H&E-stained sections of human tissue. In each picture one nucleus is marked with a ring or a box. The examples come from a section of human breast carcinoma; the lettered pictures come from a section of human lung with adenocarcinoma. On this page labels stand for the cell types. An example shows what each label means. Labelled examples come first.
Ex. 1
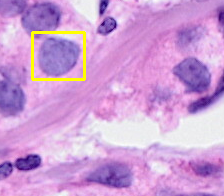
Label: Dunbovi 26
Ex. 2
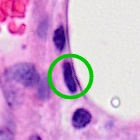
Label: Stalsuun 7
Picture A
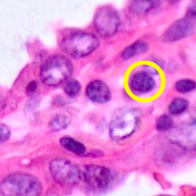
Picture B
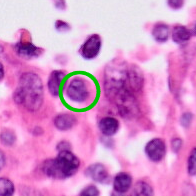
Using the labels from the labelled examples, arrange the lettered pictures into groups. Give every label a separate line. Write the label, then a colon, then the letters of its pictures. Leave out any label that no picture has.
Stalsuun 7: A, B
